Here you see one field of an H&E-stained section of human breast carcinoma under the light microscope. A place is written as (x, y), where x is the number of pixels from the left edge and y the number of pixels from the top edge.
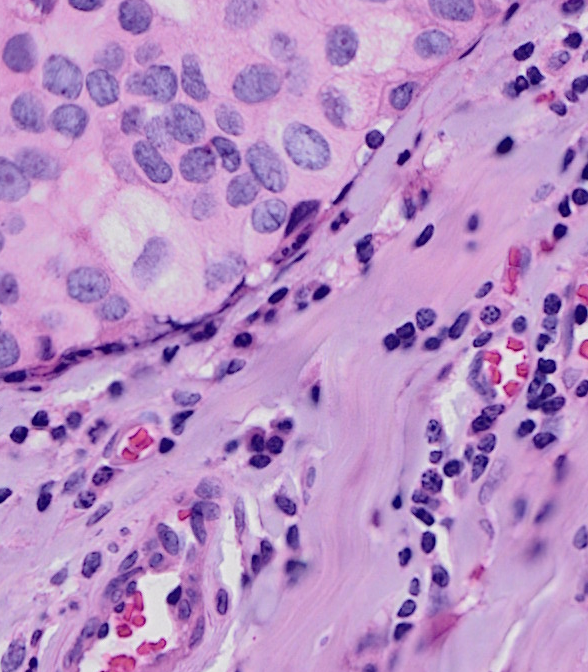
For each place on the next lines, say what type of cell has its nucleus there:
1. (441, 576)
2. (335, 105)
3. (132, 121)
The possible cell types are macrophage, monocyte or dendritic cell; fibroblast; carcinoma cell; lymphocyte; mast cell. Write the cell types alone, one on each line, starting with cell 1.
lymphocyte
carcinoma cell
carcinoma cell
